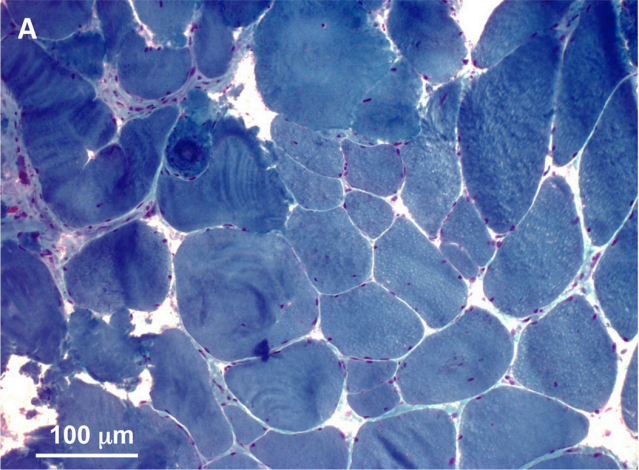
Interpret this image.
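This is a cross-section of skeletal muscle in which the fibres vary markedly in size. Large rounded fibres lie beside small angular ones, and the fibres are stained blue with a fine speckled texture. Small dark purple nuclei sit at the edges of the fibres, and the thin strands of connective tissue between fibres are pale green-blue. Here and there the spaces between fibres are widened.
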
